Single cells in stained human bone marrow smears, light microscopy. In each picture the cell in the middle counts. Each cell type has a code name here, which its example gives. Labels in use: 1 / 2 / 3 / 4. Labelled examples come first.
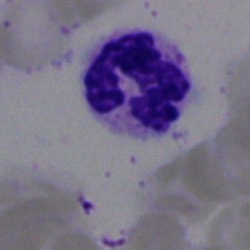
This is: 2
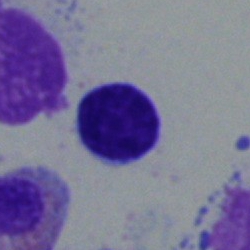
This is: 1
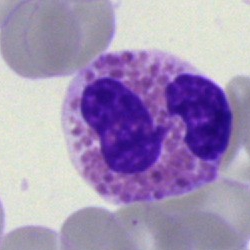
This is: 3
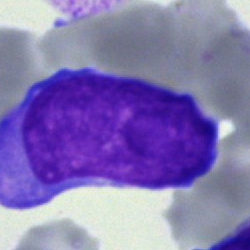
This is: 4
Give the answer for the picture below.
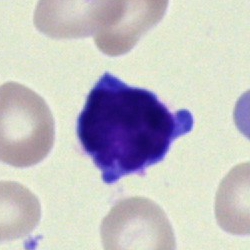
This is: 1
